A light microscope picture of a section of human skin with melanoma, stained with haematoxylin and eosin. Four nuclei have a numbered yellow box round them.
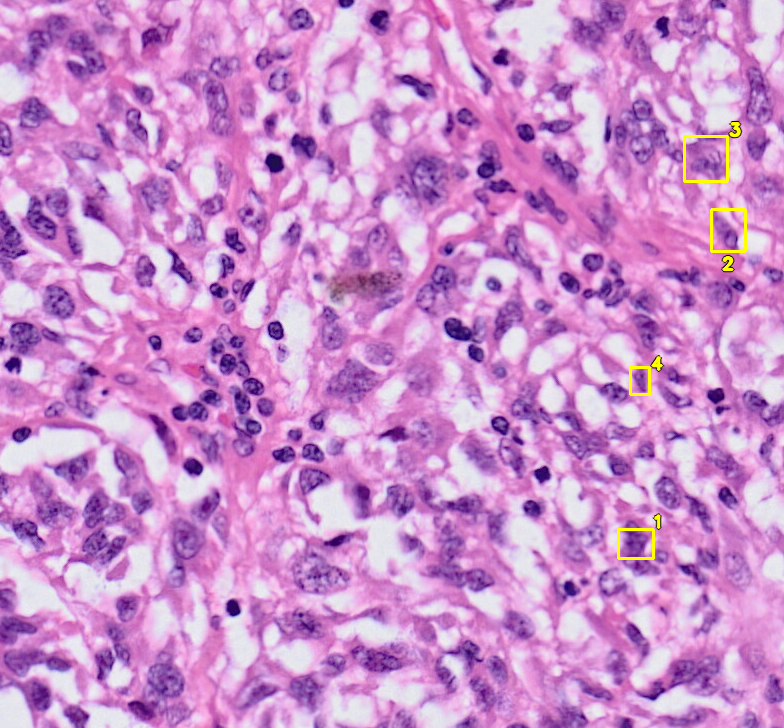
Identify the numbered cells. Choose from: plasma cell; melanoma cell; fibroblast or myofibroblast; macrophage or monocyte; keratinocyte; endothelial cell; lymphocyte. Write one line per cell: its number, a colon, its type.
1: melanoma cell
2: fibroblast or myofibroblast
3: melanoma cell
4: melanoma cell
